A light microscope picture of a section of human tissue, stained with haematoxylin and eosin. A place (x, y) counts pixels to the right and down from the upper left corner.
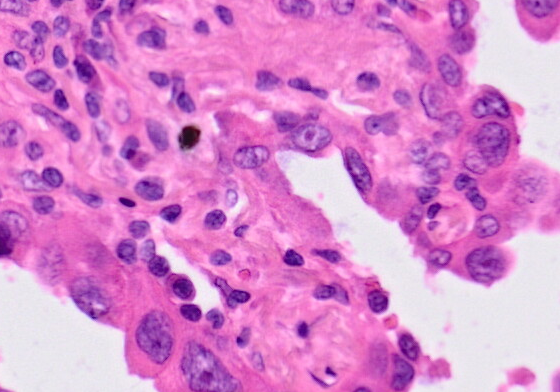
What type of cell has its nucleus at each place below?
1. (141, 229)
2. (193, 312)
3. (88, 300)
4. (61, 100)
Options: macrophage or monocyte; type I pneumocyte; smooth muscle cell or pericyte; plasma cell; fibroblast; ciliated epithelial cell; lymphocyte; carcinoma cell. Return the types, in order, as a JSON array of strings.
["lymphocyte", "lymphocyte", "carcinoma cell", "lymphocyte"]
